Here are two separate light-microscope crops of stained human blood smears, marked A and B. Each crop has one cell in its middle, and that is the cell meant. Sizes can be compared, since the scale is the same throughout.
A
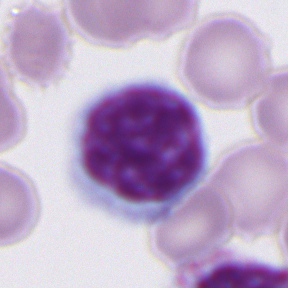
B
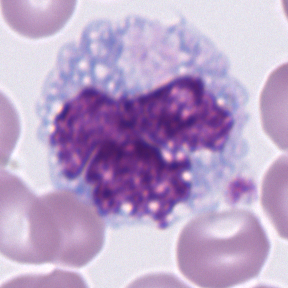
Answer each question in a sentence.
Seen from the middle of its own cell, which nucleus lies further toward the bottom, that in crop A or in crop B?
Seen within its cell, the nucleus in crop B lies further toward the bottom.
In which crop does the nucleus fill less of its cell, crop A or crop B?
Of the two, the nucleus in crop B leaves more room for cytoplasm.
